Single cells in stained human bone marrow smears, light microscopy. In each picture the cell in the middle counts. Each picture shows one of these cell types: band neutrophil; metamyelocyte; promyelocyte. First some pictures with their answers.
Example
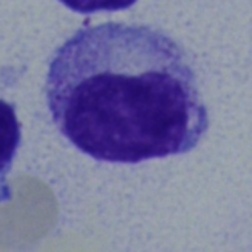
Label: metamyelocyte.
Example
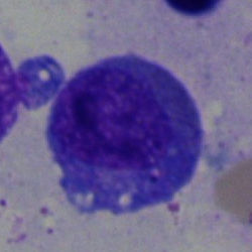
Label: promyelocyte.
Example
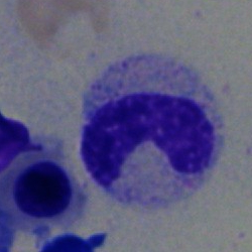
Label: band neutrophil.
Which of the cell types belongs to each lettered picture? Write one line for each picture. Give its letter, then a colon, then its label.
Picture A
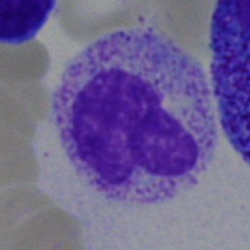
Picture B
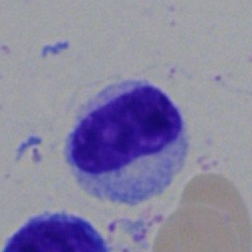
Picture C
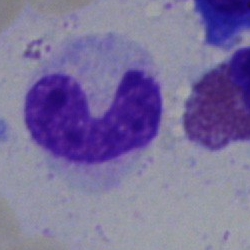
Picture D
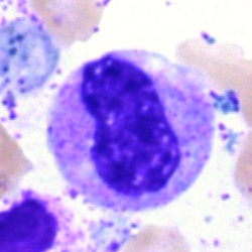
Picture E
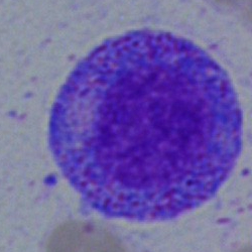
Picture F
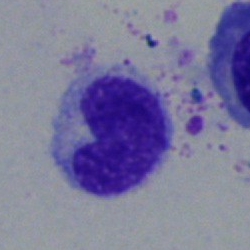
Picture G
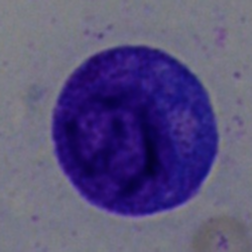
A: band neutrophil.
B: metamyelocyte.
C: band neutrophil.
D: metamyelocyte.
E: promyelocyte.
F: metamyelocyte.
G: promyelocyte.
